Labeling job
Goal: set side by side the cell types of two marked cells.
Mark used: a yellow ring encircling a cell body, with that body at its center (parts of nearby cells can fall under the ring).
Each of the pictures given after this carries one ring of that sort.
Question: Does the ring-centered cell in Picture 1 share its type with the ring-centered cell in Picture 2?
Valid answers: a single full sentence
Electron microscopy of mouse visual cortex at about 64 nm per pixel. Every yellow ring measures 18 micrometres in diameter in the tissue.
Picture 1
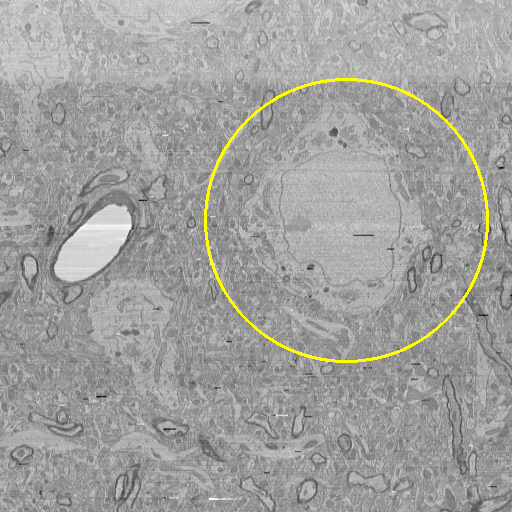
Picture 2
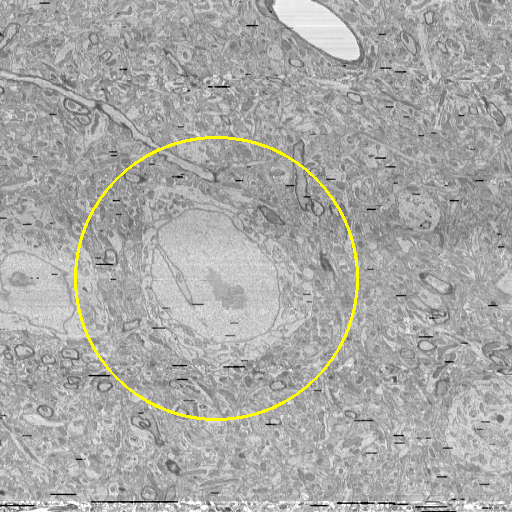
No, in Pictures 1 and 2 the cells at the ring centers have separate types.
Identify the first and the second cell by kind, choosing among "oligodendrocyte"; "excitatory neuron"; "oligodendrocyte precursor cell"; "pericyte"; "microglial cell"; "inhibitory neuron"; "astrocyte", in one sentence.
The one in the first picture is an excitatory neuron, while the one in the second is an inhibitory neuron.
